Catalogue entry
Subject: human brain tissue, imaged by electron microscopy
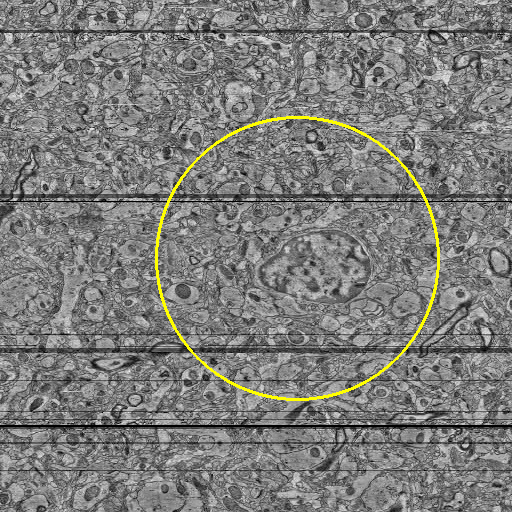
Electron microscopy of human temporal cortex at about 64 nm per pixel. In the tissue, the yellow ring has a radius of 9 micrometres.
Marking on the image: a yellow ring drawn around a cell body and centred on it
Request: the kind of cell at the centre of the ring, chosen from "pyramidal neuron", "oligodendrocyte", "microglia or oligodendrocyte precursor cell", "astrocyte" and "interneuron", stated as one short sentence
The ring has a microglial cell or oligodendrocyte precursor cell at its centre.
